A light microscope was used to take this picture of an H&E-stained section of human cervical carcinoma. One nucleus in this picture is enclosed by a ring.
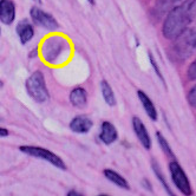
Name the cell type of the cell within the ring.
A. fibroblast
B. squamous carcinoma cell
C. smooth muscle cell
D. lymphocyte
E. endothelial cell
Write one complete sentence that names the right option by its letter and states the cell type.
Settle on option E; the cell within the ring is an endothelial cell.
